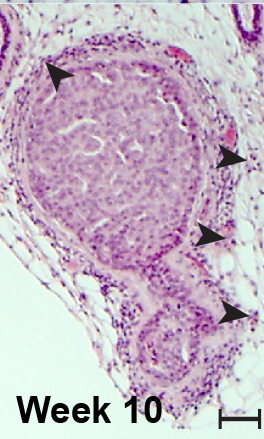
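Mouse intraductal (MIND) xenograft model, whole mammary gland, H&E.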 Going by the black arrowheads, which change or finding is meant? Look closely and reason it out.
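A large rounded nest of pink epithelial cells is bounded by a thin rim.
Answer: Tumour microinvasion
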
